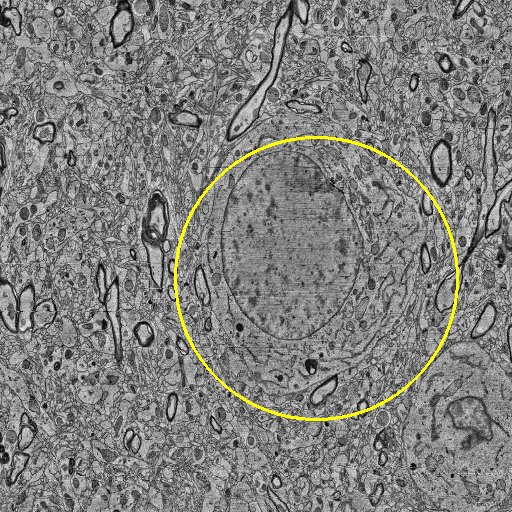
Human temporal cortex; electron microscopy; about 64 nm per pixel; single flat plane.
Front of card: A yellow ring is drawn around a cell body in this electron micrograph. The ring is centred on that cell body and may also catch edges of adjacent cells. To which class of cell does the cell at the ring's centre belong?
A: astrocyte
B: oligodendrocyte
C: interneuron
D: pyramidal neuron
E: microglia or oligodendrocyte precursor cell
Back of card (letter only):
D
